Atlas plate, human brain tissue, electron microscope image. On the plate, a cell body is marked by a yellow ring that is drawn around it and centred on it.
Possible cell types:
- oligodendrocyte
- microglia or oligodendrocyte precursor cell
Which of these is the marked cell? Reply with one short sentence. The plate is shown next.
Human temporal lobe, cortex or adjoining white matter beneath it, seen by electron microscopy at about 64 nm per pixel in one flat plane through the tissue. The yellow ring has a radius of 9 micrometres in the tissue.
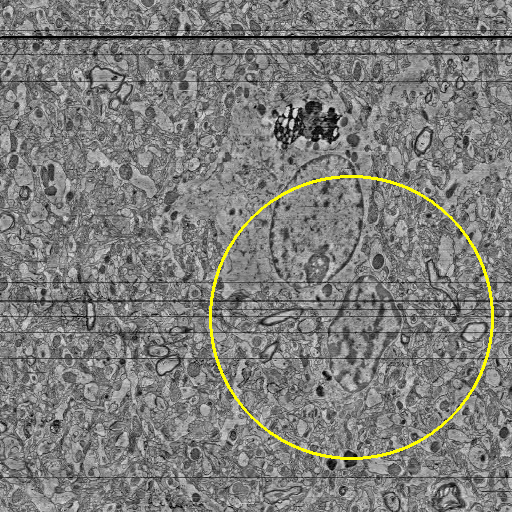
The marked cell is a microglial cell or oligodendrocyte precursor cell.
